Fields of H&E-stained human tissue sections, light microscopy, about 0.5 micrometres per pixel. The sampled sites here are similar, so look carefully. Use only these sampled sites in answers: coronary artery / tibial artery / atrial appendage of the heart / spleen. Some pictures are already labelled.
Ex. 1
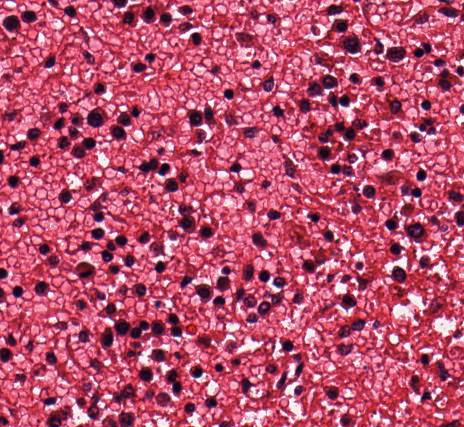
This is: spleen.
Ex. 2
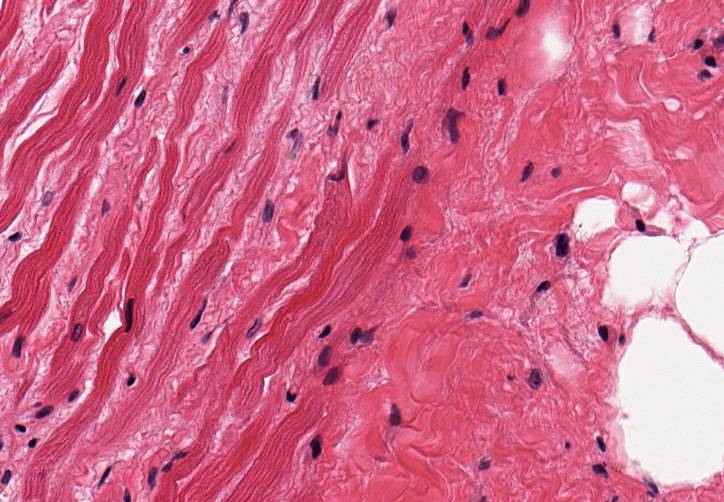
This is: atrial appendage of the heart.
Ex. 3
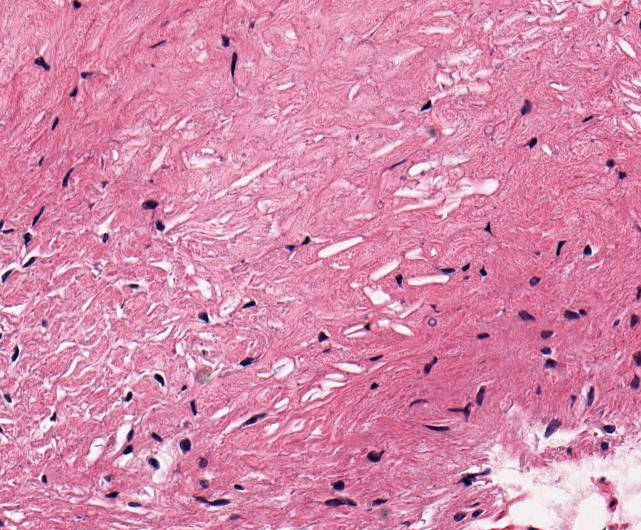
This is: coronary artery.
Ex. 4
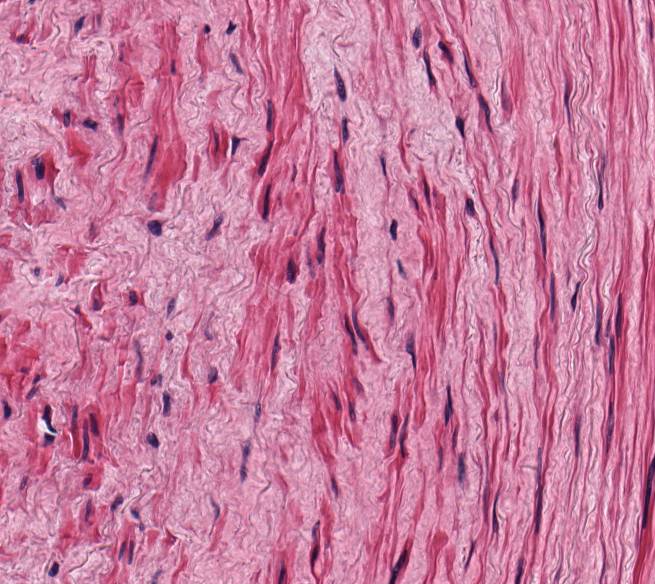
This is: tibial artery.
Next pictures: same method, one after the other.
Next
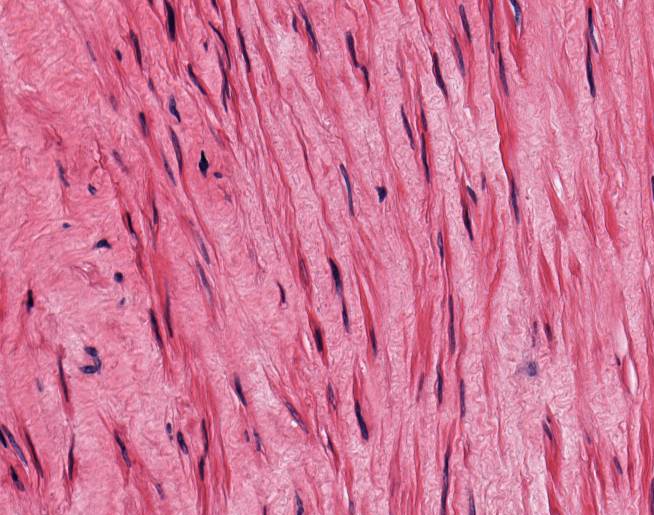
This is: tibial artery.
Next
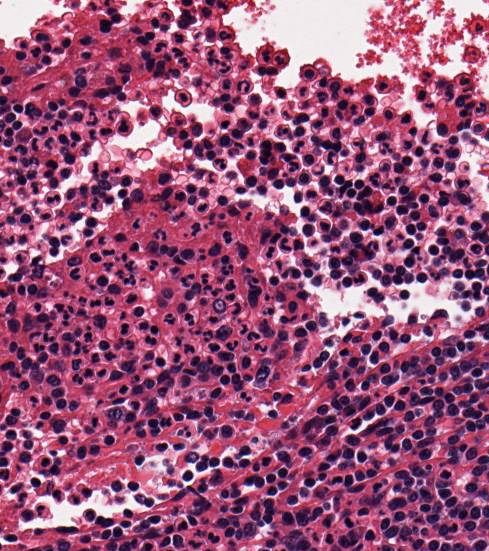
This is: spleen.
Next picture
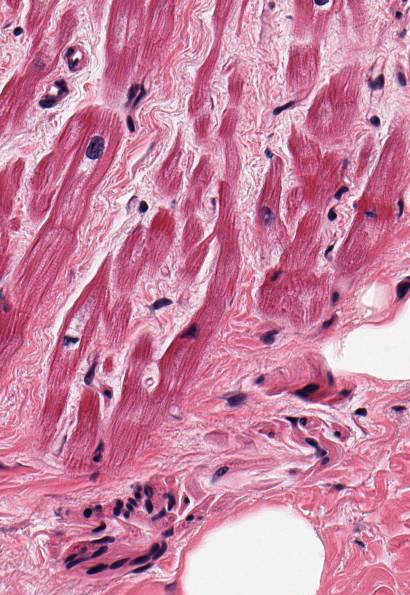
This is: atrial appendage of the heart.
